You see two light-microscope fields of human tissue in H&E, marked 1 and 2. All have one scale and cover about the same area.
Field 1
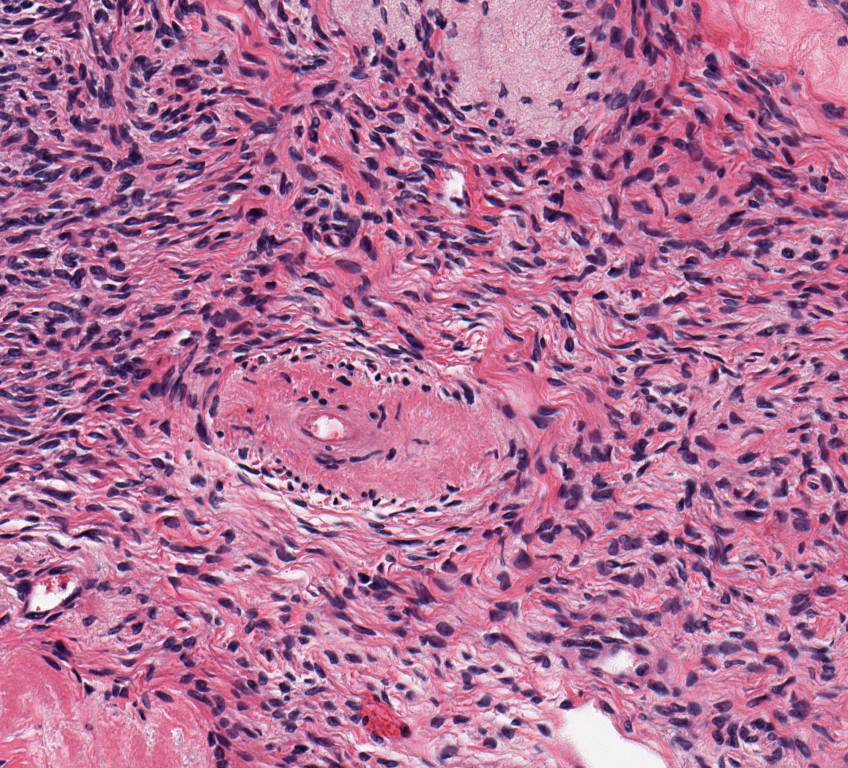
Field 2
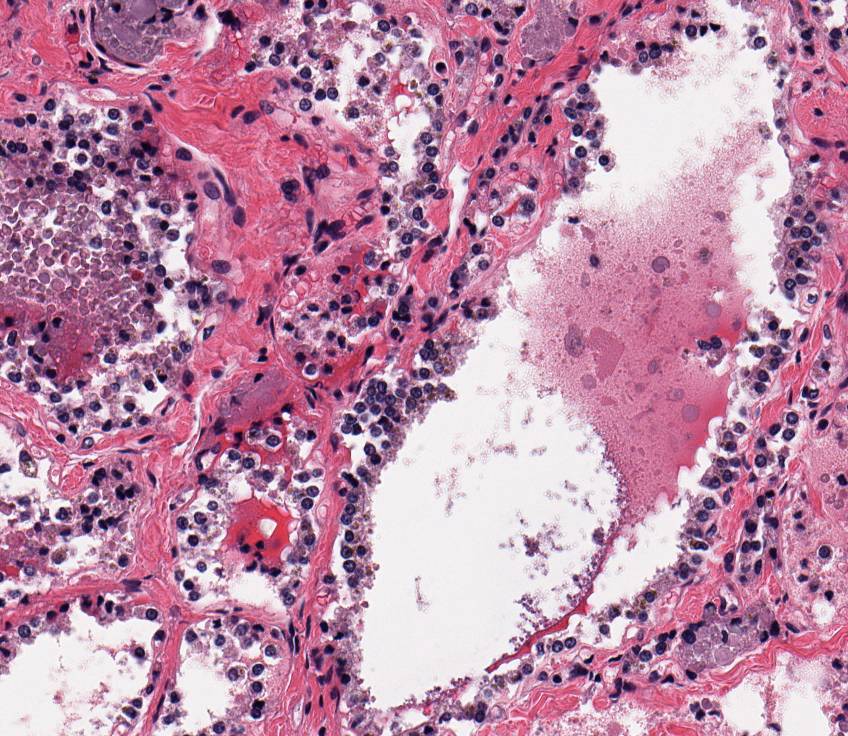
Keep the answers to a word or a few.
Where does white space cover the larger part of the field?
2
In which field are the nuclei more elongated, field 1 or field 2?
1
